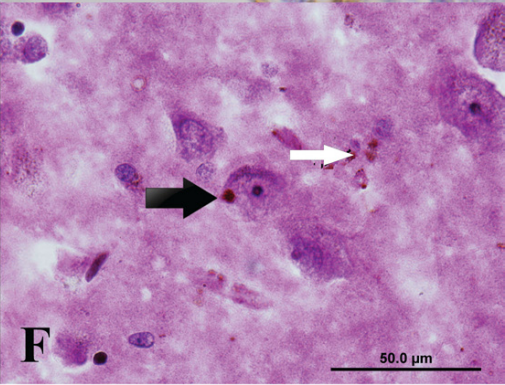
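Brain tissue shows neurons and glial cells lying in a pale purple neuropil. The neurons are large cells with a rounded nucleus and a distinct dark nucleolus, surrounded by purple cytoplasm. Smaller round or elongated nuclei belong to glial cells scattered between them. Small brown-red dots sit at the edge of one neuron and, separately, among the neuropil beside small nuclei. The background neuropil is finely granular with pale clear spaces.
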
